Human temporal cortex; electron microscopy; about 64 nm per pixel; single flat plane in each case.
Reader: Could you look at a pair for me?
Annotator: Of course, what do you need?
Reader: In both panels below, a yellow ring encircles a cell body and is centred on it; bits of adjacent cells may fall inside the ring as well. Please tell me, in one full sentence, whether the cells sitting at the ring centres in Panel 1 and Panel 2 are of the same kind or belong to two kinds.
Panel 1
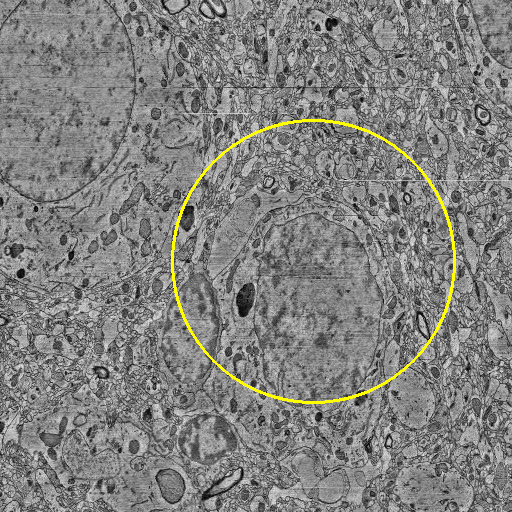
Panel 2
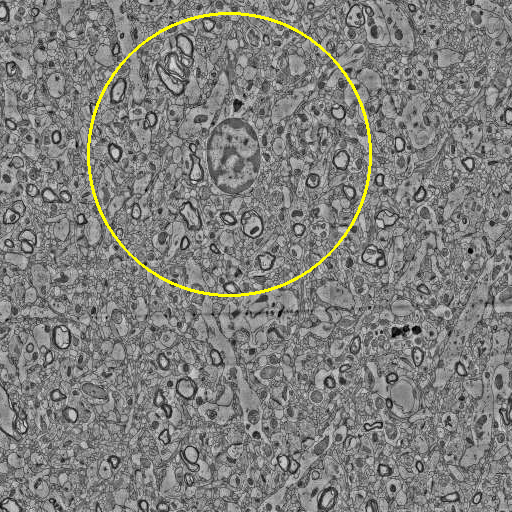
The cell at the ring's centre in Panel 1 and the one in Panel 2 belong to two kinds.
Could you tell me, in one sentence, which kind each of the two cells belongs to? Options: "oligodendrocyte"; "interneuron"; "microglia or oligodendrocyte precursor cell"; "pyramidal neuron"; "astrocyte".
At the centre of the first ring sits an interneuron, and at the centre of the second sits a microglial cell or oligodendrocyte precursor cell.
